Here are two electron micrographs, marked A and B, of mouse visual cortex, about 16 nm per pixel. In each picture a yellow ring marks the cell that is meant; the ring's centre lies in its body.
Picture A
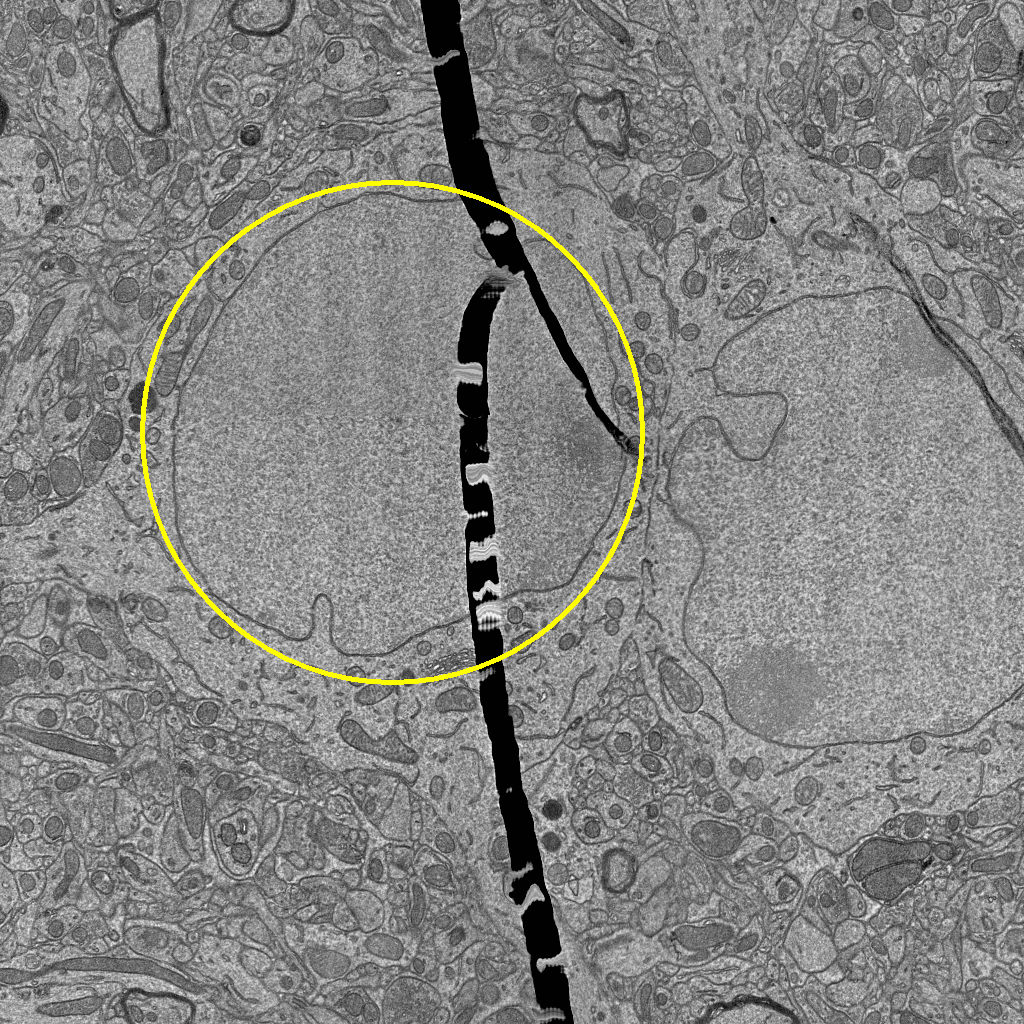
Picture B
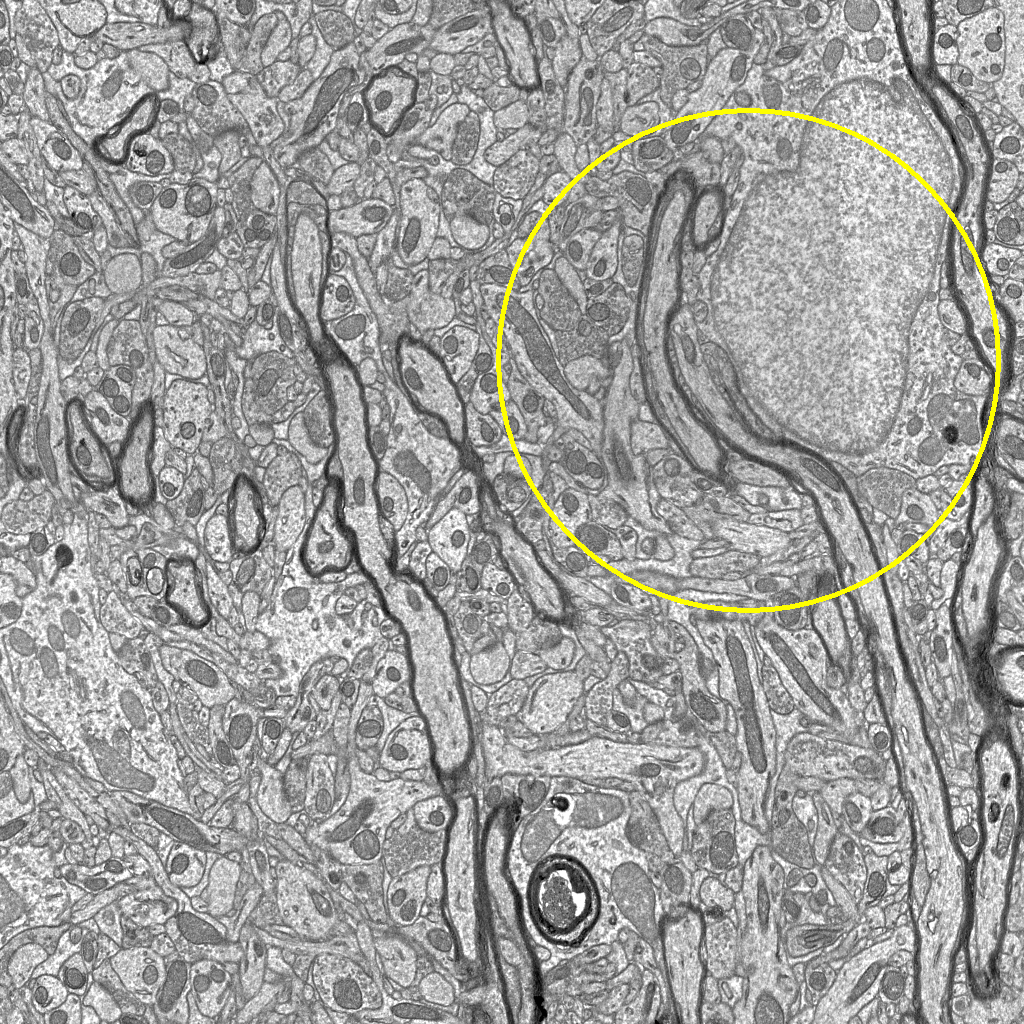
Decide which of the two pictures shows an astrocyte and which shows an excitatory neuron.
Picture A is of an excitatory neuron, and picture B is of an astrocyte.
